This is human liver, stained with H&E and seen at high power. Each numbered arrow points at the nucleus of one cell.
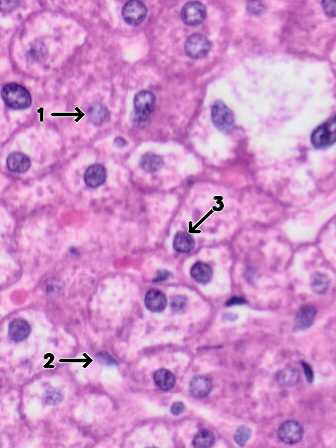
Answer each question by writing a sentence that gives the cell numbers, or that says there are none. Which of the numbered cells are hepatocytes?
The cells numbered 1 and 3 fall into the category of hepatocytes.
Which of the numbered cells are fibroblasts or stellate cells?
Answering directly: no fibroblasts or stellate cells are among the numbered cells.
